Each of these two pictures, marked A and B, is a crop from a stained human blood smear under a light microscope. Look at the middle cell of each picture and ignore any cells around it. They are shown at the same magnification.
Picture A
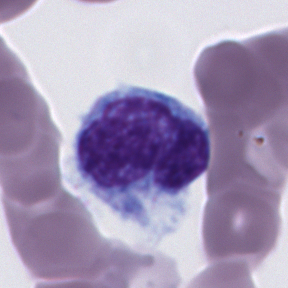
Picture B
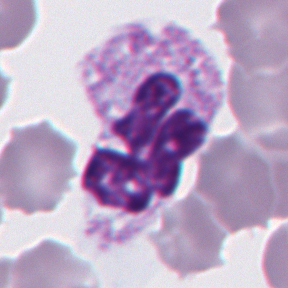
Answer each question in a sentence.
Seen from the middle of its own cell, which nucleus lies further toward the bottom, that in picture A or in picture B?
It is the nucleus in picture B that lies further toward the bottom of its cell.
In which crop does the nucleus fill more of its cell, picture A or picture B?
In picture A the nucleus takes up the larger part of its cell.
